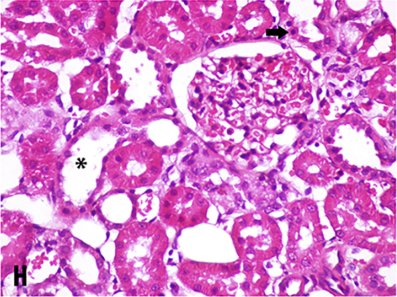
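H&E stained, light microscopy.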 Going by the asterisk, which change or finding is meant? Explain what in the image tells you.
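Dilated tubule. The asterisk lies in a tubular lumen wider than those of the surrounding tubules.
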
